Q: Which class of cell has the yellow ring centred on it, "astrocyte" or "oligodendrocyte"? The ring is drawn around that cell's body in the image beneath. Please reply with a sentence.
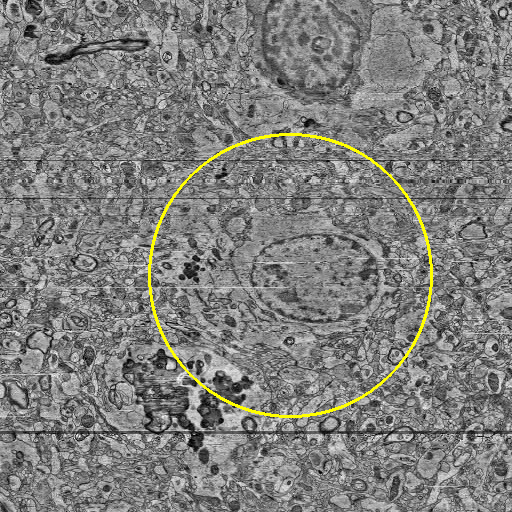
It is centred on an astrocyte.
